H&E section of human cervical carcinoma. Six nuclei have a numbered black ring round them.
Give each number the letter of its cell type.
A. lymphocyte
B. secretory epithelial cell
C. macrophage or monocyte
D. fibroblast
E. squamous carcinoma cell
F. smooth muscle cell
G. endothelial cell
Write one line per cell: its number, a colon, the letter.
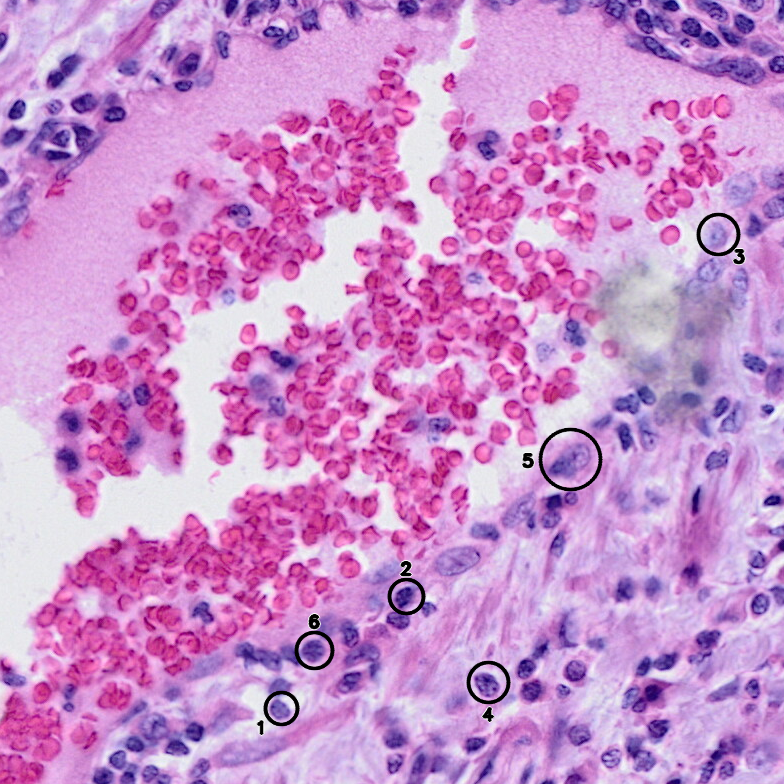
1: A
2: A
3: G
4: A
5: G
6: A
